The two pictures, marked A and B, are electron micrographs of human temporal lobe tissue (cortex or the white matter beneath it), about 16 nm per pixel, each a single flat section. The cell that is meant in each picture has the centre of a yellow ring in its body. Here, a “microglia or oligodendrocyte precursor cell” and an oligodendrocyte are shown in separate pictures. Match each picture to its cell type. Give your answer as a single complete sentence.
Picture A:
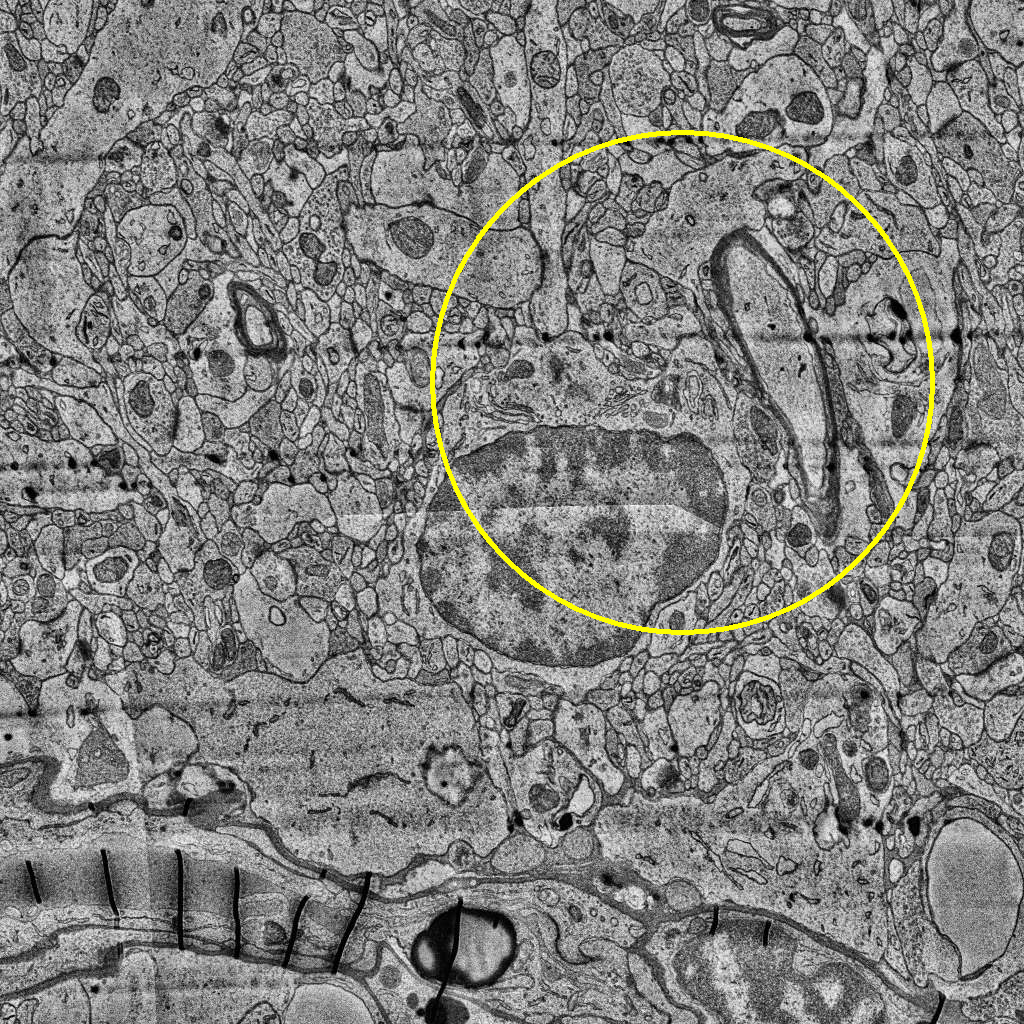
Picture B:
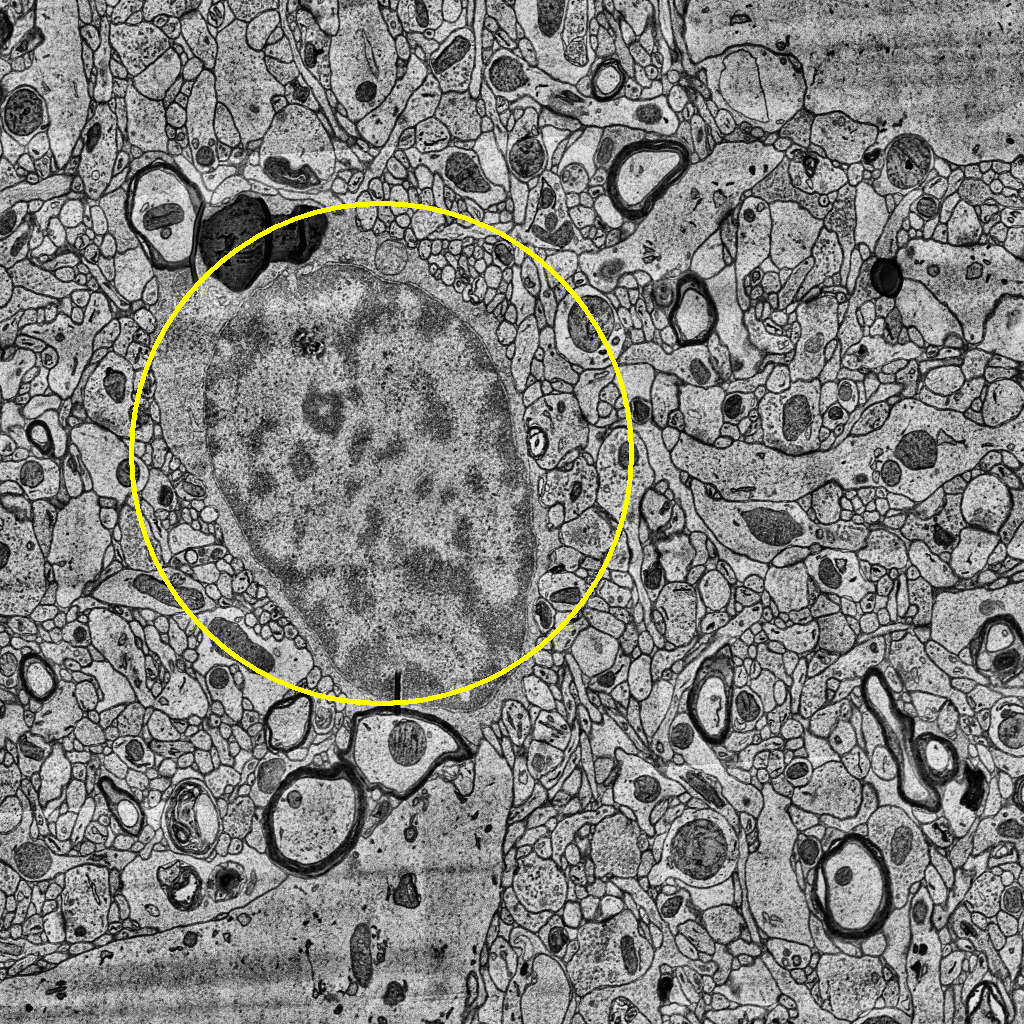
It is picture A that shows a “microglia or oligodendrocyte precursor cell”, and picture B that shows an oligodendrocyte.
